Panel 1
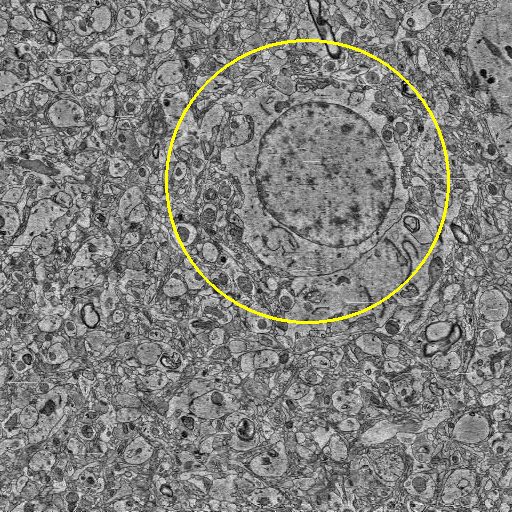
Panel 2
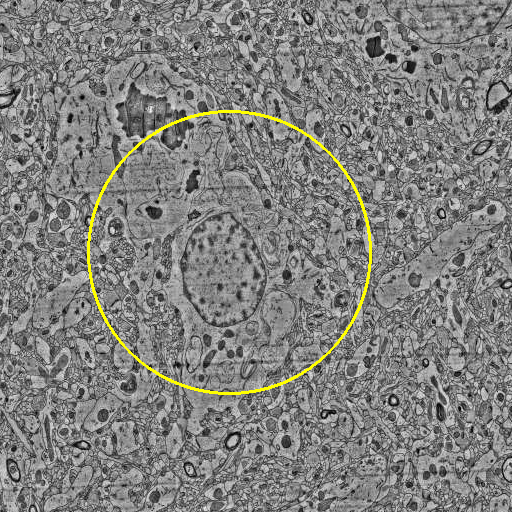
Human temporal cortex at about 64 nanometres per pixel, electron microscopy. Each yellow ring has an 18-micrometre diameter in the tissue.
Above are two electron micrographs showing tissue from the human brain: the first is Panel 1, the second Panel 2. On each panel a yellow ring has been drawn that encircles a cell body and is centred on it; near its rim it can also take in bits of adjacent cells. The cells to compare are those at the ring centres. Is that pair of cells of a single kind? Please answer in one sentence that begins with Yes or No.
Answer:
Yes, the ring-centred cells of Panel 1 and Panel 2 belong to one kind.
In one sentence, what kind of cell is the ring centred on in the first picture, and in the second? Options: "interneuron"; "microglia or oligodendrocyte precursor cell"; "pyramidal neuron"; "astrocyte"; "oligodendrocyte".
The cell in the first picture is an astrocyte, and so is the one in the second.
